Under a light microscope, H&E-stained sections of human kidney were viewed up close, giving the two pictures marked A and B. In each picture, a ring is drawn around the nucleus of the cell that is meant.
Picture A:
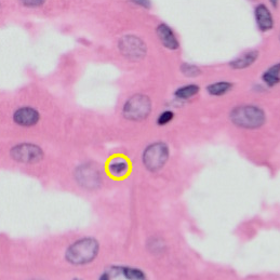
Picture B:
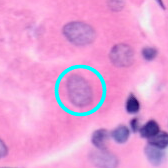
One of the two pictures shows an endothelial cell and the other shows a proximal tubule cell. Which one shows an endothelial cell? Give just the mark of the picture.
A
